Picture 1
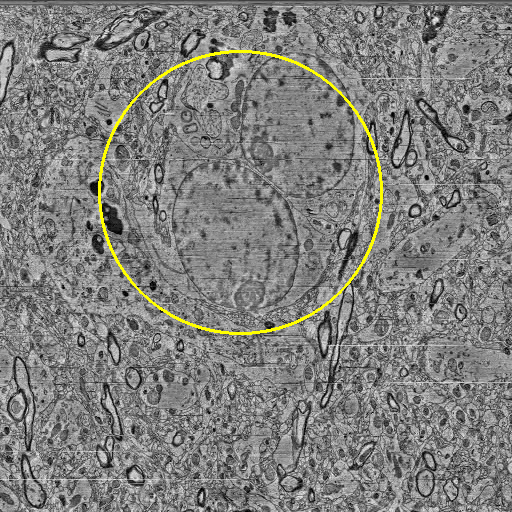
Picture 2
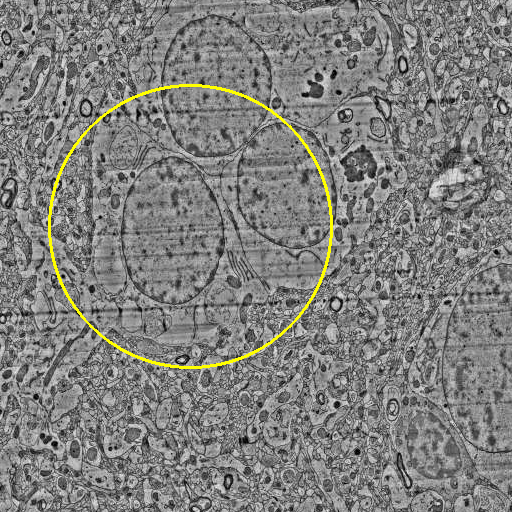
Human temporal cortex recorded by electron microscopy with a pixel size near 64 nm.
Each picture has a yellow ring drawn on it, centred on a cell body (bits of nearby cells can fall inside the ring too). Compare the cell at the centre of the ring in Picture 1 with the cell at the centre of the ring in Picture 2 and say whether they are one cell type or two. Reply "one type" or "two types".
one type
